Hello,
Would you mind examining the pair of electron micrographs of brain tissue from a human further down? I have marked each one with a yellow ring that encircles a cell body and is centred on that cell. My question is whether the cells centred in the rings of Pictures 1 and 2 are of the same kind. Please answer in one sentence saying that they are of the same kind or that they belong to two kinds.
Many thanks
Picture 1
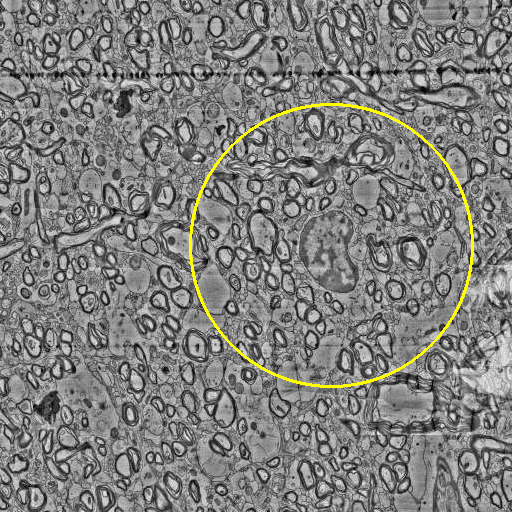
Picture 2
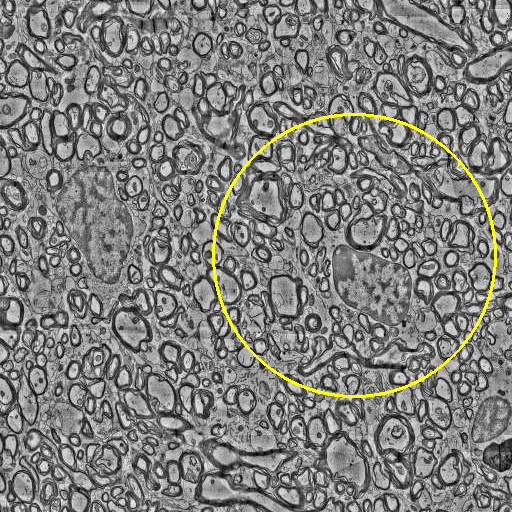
In Pictures 1 and 2, the cells at the heart of the rings are of the same kind.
